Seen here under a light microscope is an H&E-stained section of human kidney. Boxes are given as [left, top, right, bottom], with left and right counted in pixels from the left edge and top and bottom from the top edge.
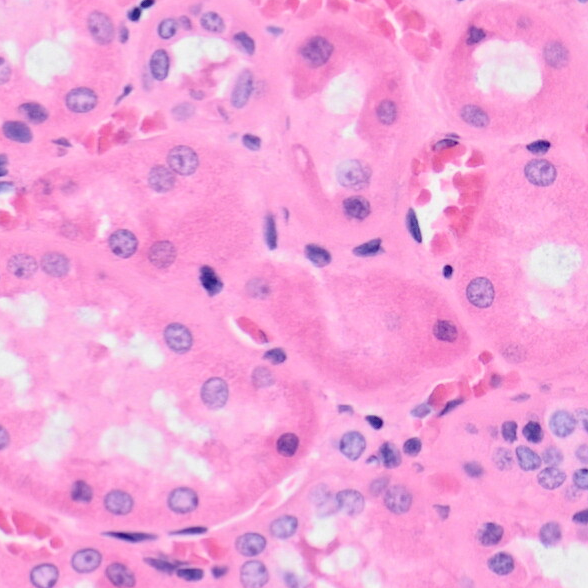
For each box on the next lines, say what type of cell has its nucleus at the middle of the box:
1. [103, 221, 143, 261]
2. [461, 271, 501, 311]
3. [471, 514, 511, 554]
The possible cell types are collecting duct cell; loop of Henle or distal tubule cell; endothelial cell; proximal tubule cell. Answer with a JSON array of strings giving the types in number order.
["proximal tubule cell", "proximal tubule cell", "loop of Henle or distal tubule cell"]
